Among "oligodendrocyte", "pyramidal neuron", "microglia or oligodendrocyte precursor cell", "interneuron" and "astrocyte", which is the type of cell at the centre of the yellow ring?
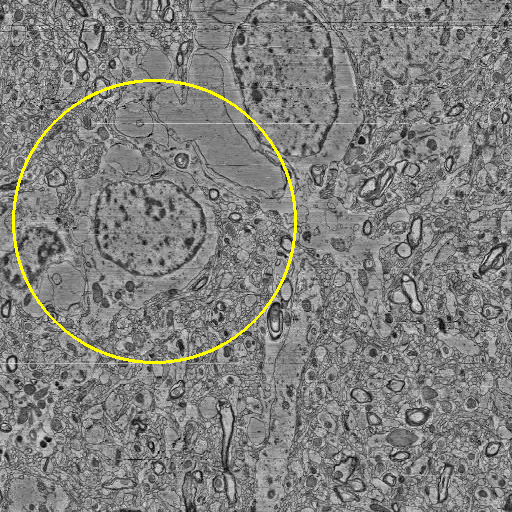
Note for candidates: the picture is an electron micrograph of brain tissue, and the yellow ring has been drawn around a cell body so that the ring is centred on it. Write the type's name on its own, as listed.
astrocyte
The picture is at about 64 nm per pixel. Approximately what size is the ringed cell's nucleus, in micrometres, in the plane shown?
Approximately 7 micrometres across in this plane.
